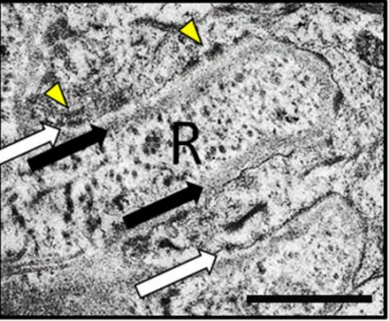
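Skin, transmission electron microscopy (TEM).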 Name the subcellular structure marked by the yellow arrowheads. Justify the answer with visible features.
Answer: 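Hemidesmosomes. The arrowheads point to small dense thickenings along the basal cell membrane facing the pale matrix.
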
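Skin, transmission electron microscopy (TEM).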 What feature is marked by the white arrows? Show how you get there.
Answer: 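Lamina lucida. The white arrows point to a narrow pale band immediately under the cell membrane.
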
